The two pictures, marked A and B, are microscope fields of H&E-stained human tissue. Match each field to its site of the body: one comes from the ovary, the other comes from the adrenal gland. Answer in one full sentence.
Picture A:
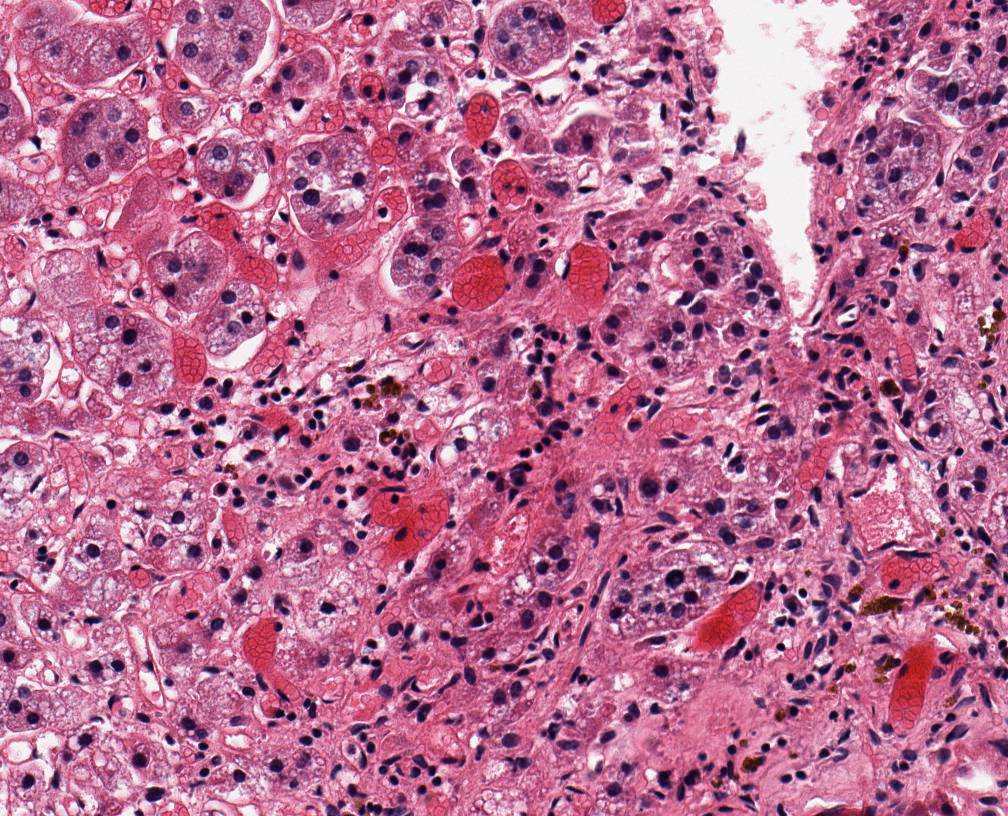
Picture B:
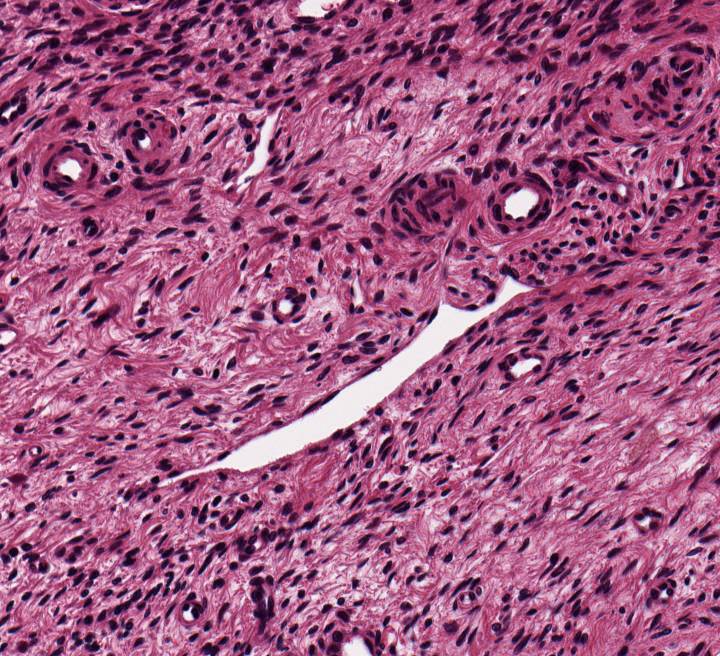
Picture A comes from the adrenal gland and picture B comes from the ovary.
